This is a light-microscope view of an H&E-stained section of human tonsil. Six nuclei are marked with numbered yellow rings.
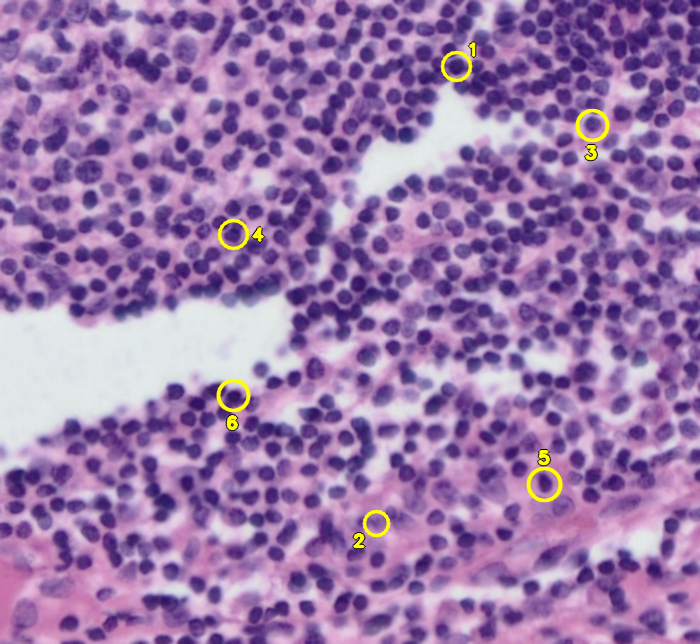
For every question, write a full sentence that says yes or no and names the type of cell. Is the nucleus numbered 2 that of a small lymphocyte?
No, cell 2 is identified not as a small lymphocyte but as an endothelial cell.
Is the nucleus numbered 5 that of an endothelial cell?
Yes, among the marked cells, the one with number 5 is an endothelial cell.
